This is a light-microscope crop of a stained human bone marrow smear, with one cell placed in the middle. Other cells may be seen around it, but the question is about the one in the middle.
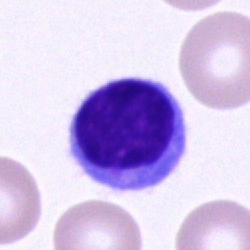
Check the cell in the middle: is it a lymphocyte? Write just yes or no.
yes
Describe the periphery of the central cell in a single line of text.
If you check the edge, you will find it smooth without projections.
